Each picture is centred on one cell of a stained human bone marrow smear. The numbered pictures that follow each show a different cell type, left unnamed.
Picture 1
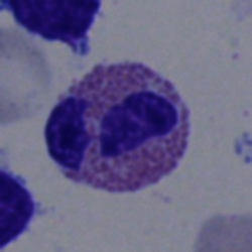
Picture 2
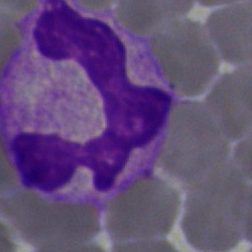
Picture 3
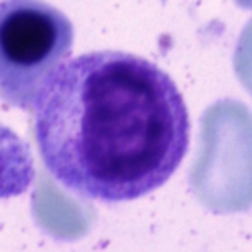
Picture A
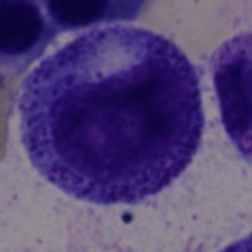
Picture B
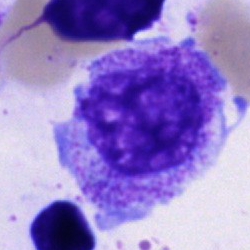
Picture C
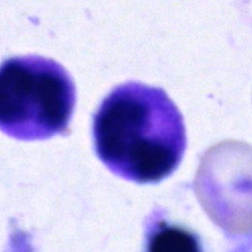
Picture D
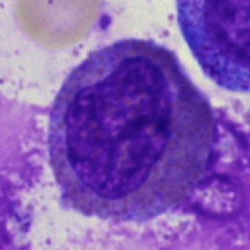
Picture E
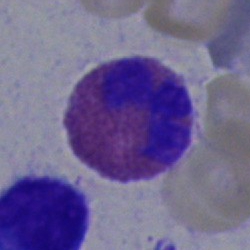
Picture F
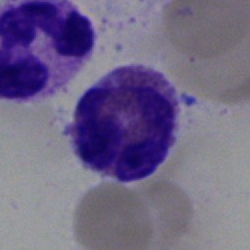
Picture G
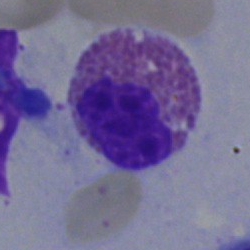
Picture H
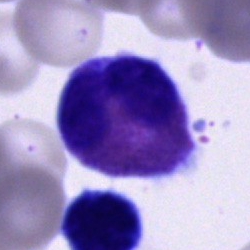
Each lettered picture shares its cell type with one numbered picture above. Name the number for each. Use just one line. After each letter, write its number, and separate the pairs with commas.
A 3, B 3, C 2, D 1, E 1, F 1, G 1, H 1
